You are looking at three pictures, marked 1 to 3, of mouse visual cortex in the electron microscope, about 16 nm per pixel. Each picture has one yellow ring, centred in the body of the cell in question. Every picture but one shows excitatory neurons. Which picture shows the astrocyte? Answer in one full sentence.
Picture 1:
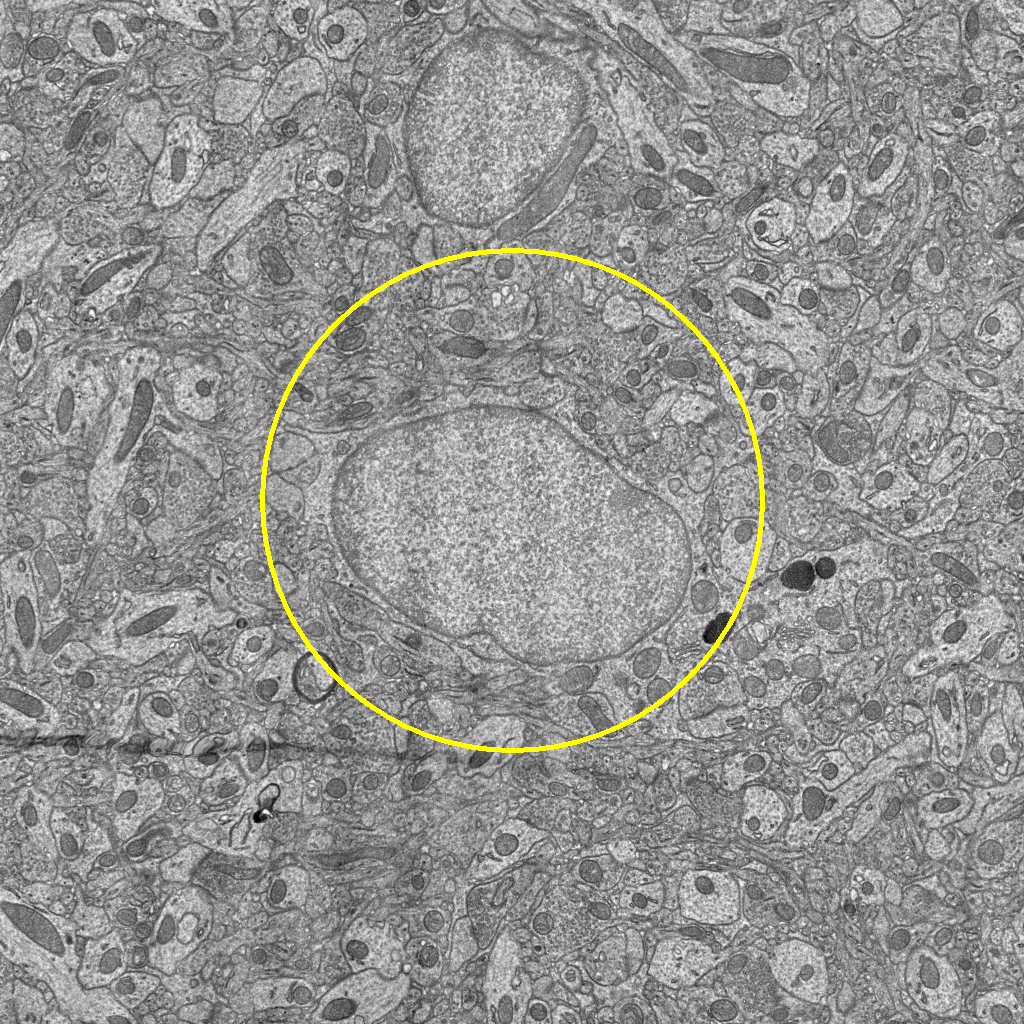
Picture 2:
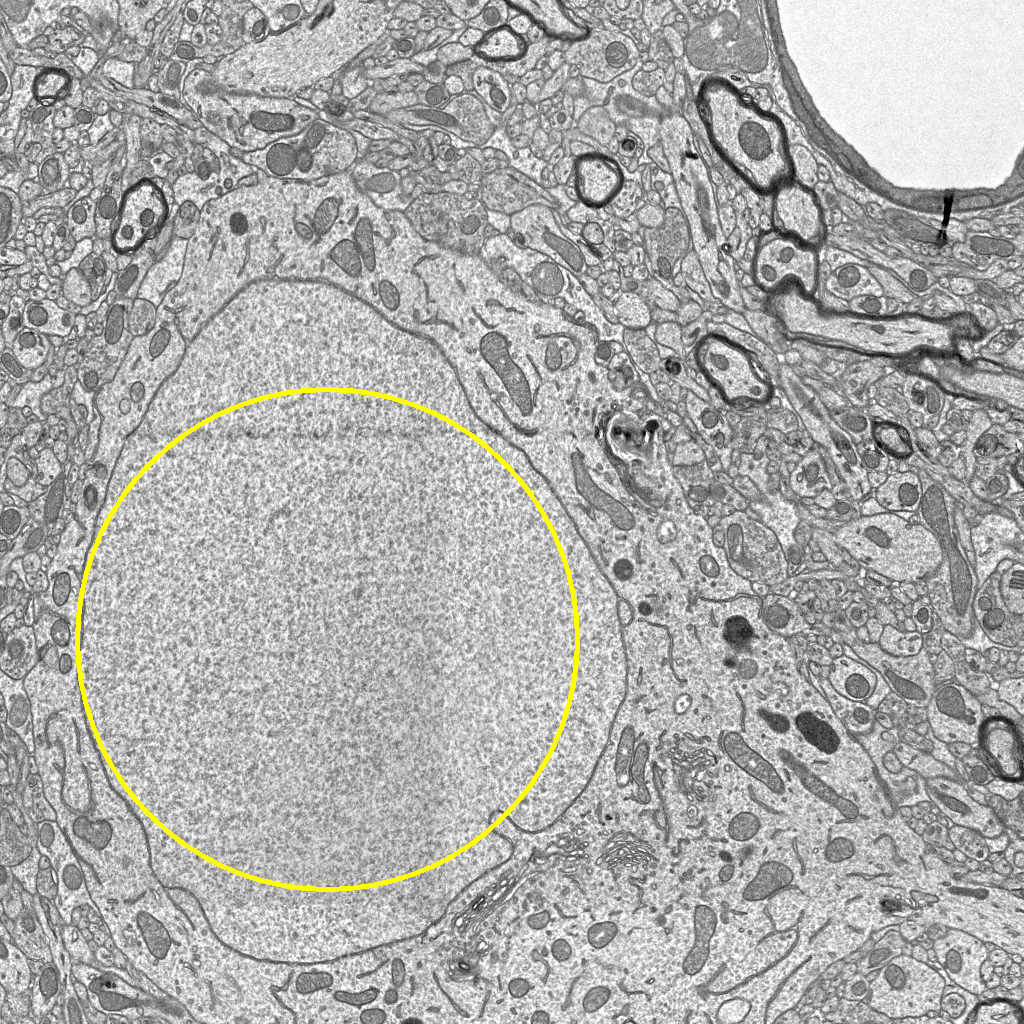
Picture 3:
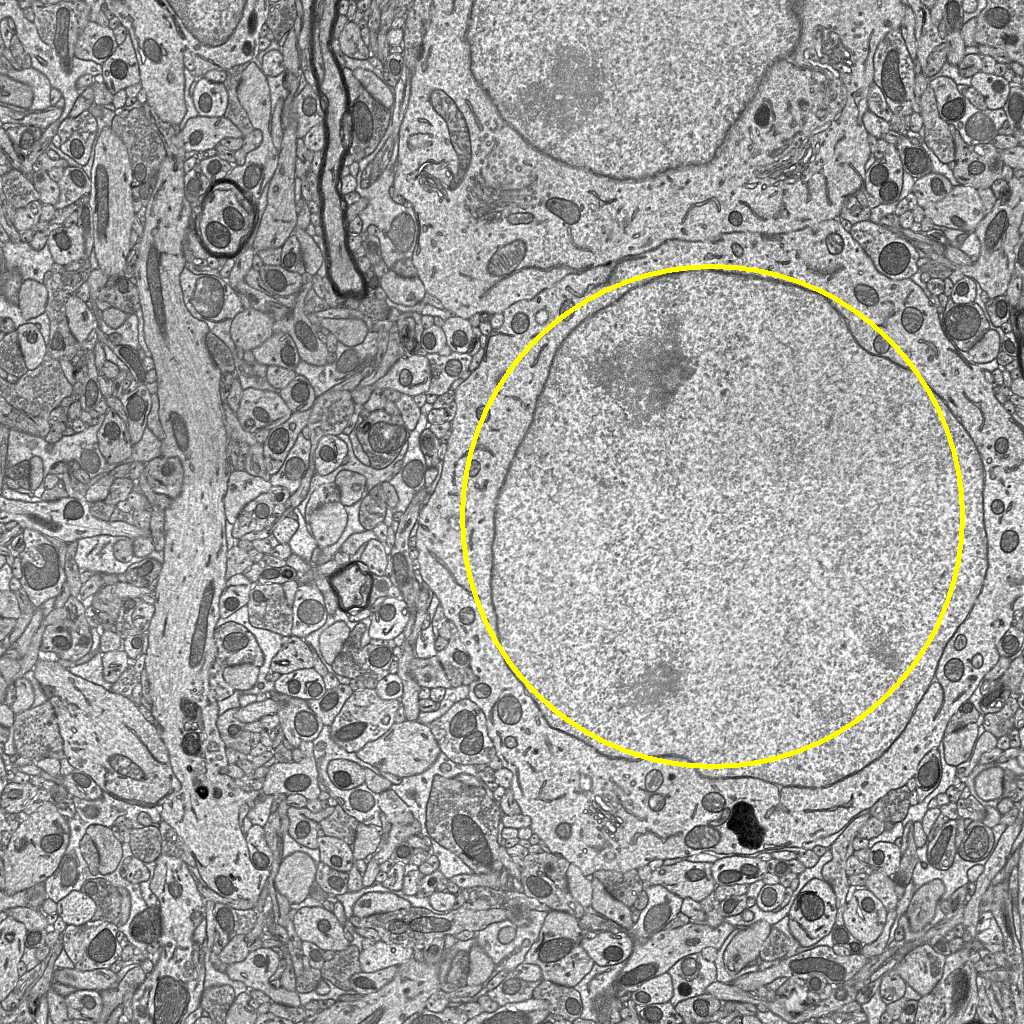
The astrocyte is the one in picture 1.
